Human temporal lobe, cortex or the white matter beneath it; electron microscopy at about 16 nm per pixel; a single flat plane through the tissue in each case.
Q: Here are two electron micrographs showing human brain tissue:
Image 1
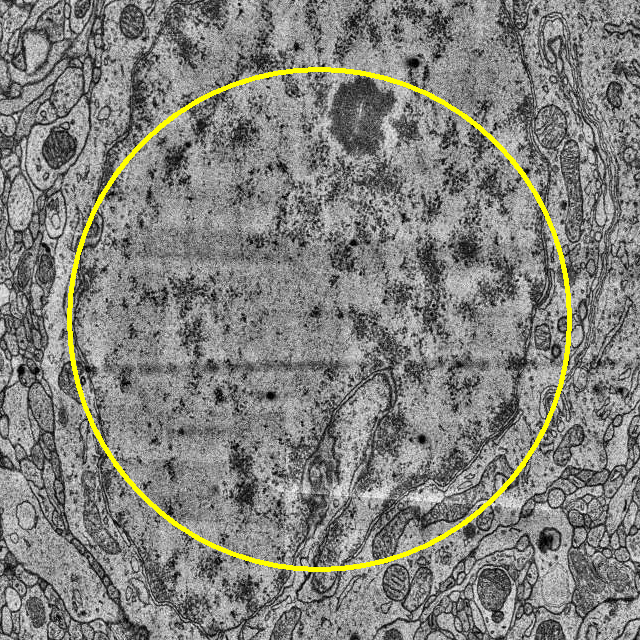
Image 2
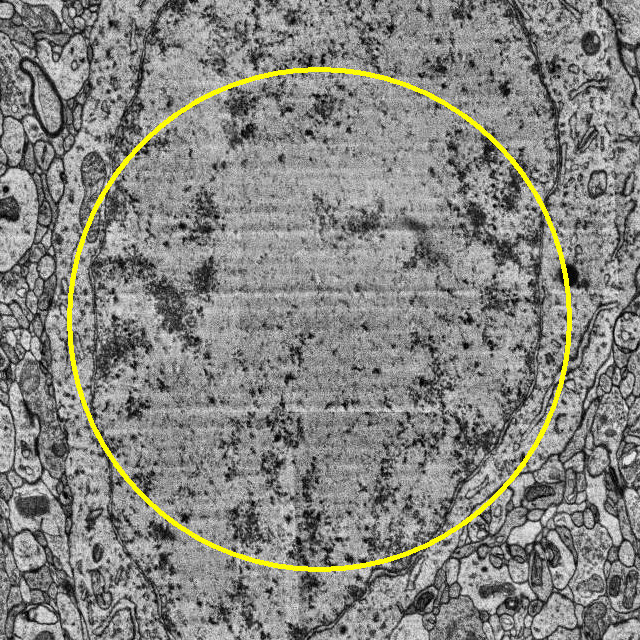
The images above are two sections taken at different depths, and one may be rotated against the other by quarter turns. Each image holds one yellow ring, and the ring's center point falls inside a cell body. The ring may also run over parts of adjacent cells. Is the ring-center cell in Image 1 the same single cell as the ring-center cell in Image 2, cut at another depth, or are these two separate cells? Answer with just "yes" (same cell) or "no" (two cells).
yes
